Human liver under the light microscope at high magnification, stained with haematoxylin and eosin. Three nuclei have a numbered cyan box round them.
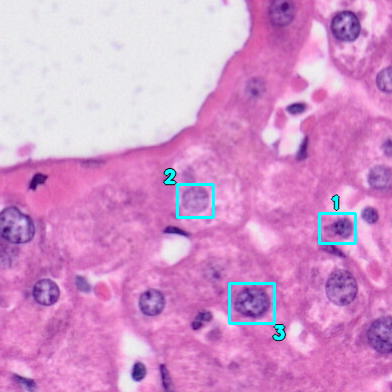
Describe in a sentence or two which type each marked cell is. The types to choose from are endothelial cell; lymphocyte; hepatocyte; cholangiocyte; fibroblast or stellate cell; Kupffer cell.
Cell 1 is a Kupffer cell. Cells 2 and 3 are hepatocytes.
